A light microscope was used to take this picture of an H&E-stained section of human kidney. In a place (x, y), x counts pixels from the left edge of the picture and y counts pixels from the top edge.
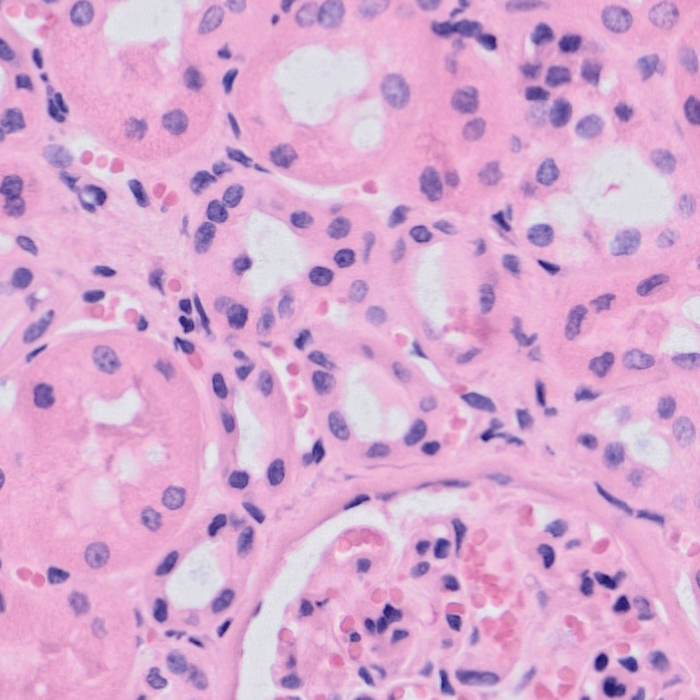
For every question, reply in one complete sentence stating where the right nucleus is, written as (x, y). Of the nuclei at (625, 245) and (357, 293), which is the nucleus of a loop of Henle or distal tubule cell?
The one at (625, 245) is the nucleus belonging to a loop of Henle or distal tubule cell, not the other one.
